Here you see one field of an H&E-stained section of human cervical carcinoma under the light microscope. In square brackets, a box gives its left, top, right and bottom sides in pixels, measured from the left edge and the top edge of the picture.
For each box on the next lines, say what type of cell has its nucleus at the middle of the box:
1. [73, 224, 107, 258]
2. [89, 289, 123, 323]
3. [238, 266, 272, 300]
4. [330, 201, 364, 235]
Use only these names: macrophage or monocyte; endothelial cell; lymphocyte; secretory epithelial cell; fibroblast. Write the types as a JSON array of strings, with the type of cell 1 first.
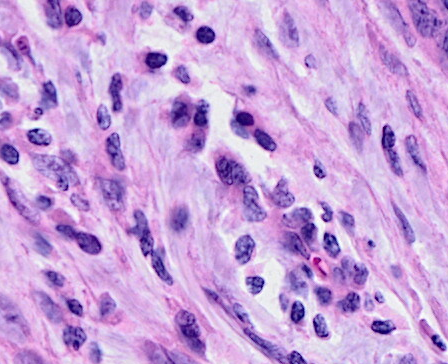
["lymphocyte", "macrophage or monocyte", "lymphocyte", "lymphocyte"]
